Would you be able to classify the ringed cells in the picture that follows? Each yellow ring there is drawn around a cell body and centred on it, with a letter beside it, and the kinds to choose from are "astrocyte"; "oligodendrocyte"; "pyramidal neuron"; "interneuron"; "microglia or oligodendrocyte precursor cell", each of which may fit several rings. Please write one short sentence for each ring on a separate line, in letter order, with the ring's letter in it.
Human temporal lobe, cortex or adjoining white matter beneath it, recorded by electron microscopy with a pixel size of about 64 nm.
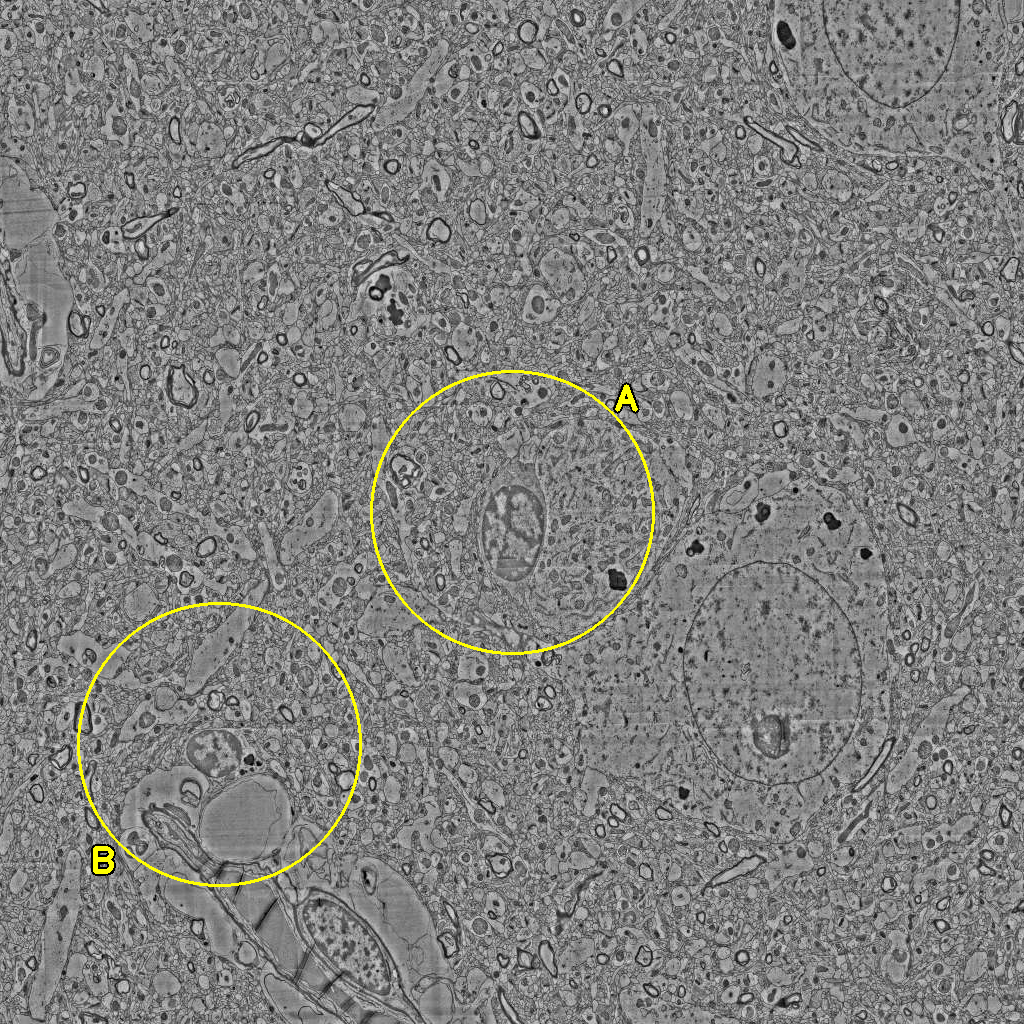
The cell body at the centre of ring A belongs to an oligodendrocyte.
The cell body at the centre of ring B belongs to a microglial cell or oligodendrocyte precursor cell.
